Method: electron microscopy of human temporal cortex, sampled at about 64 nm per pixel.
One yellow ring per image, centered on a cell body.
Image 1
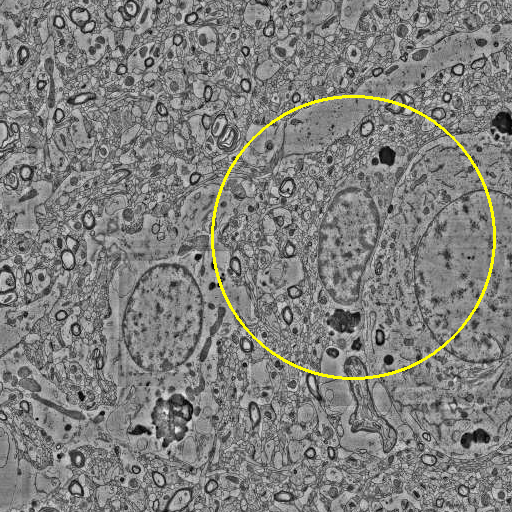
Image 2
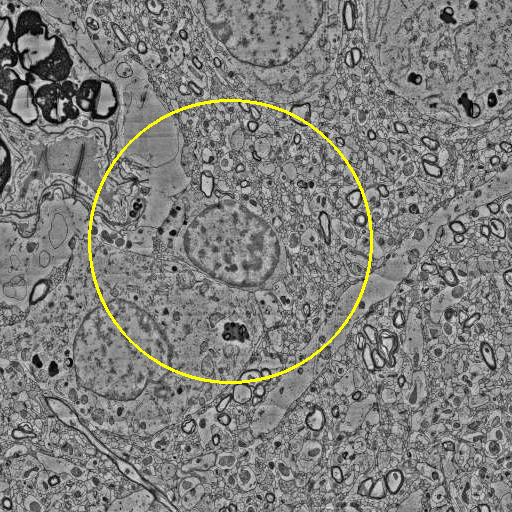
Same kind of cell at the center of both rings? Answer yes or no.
yes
